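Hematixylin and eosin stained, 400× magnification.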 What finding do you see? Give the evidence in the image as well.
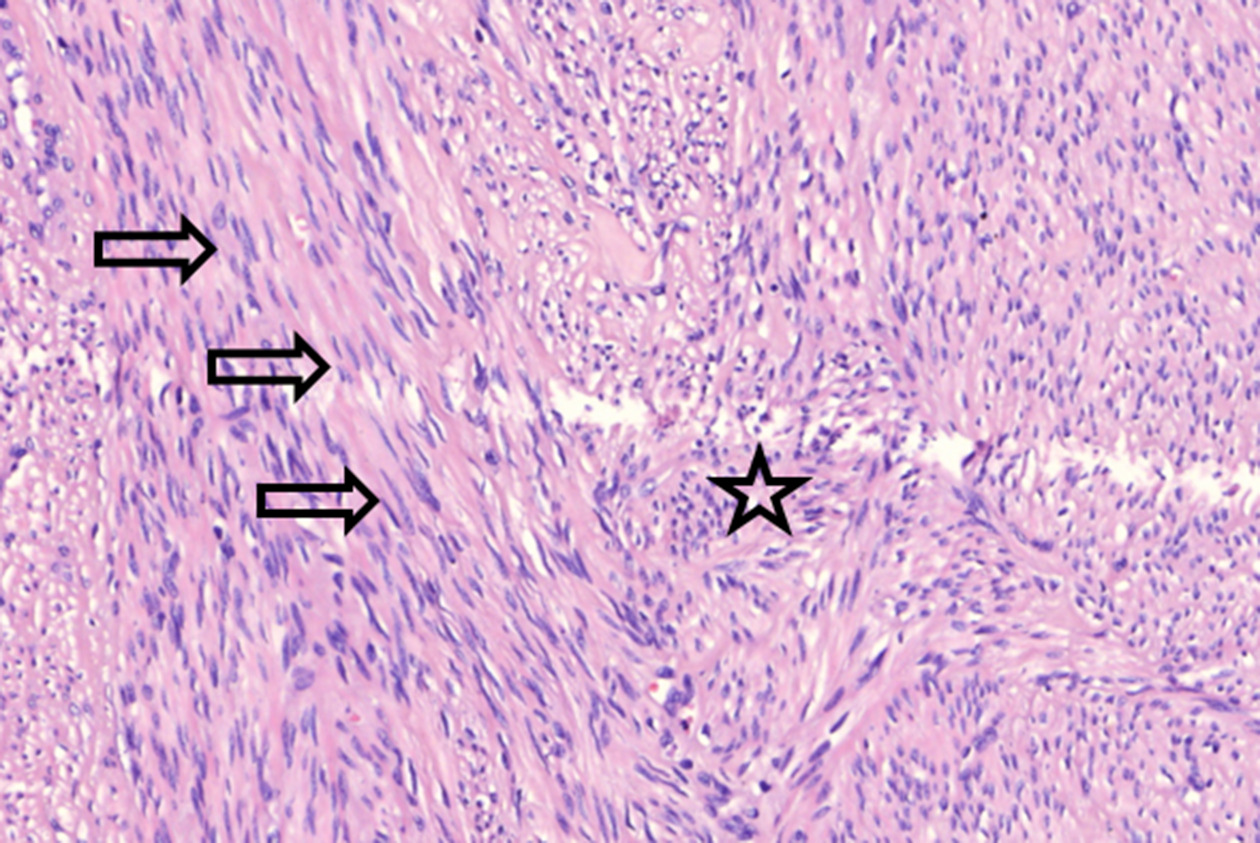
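The cells form sheets and bundles with little normal tissue structure between them.
Answer: Cell rich tumour proliferation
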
